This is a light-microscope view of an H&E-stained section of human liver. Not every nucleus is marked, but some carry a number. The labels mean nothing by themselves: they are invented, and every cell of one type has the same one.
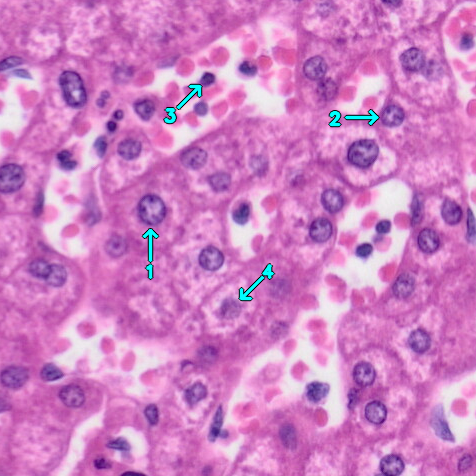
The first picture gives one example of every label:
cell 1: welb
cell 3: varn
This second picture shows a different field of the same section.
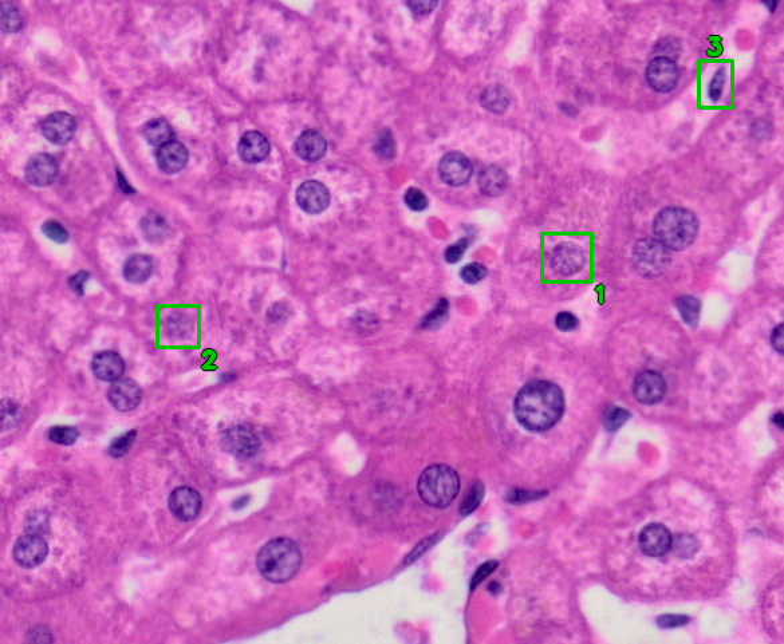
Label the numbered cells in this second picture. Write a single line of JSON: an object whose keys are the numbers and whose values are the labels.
{"1": "welb", "2": "welb", "3": "varn"}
